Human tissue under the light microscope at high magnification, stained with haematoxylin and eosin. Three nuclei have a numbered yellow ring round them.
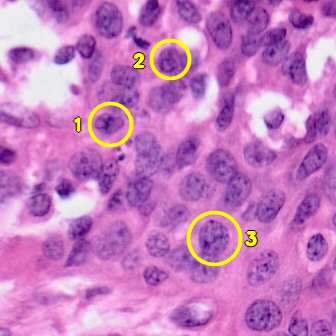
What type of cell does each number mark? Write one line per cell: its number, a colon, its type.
1: macrophage or monocyte
2: carcinoma cell
3: carcinoma cell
